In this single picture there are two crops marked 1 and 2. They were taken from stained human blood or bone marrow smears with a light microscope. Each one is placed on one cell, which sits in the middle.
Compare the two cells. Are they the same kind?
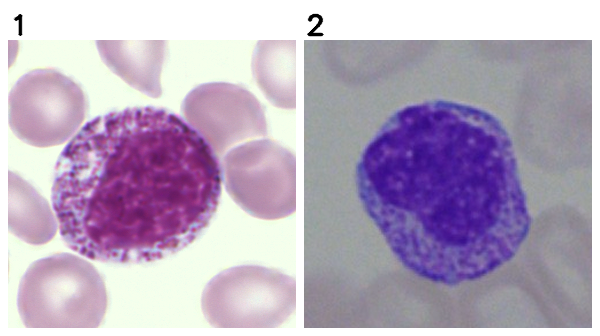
yes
